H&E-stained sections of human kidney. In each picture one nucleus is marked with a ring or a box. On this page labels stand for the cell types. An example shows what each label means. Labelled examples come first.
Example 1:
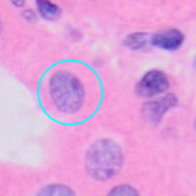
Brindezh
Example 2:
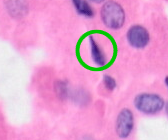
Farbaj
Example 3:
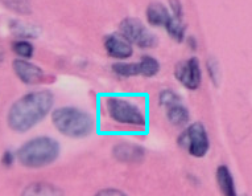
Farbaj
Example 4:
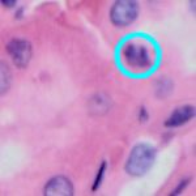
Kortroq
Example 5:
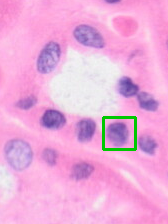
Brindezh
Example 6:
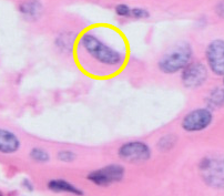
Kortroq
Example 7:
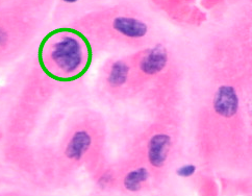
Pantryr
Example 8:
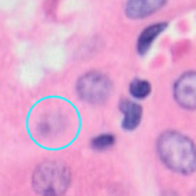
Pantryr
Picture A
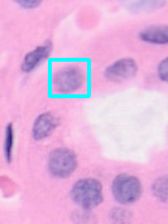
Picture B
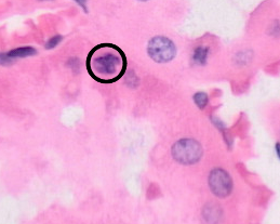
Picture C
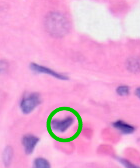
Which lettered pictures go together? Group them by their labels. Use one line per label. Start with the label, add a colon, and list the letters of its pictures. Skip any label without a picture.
Farbaj: C
Kortroq: A
Pantryr: B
